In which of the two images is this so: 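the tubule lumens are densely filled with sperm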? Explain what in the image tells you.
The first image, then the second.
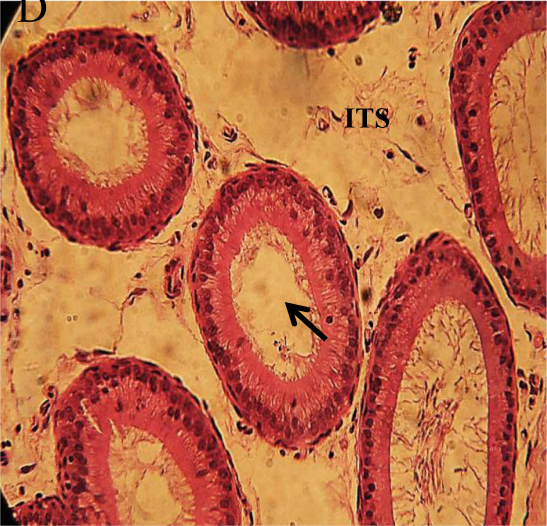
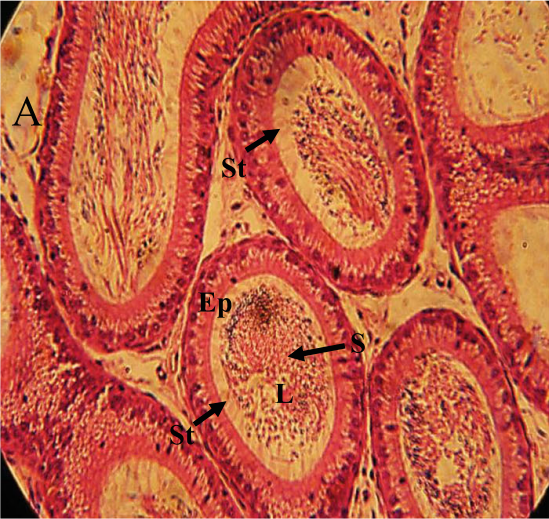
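First image: tubule centres are pale and largely empty, with wide loose tissue between tubules. Second image: tubule centres are packed with dark threadlike material and tubules lie close together. That points to this answer: the second image.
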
